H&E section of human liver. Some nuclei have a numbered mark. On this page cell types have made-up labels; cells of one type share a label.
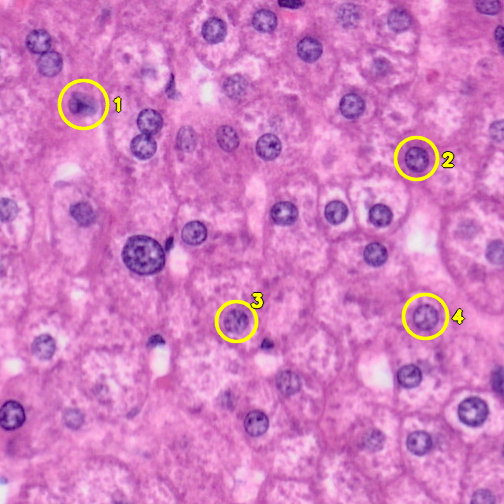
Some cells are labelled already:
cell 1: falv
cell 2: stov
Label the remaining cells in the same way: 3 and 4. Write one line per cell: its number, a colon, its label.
3: stov
4: stov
